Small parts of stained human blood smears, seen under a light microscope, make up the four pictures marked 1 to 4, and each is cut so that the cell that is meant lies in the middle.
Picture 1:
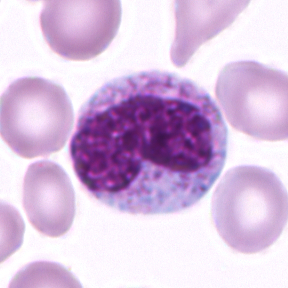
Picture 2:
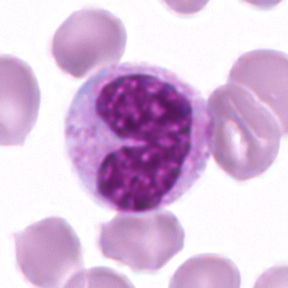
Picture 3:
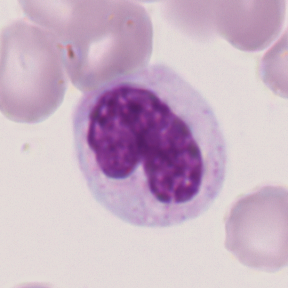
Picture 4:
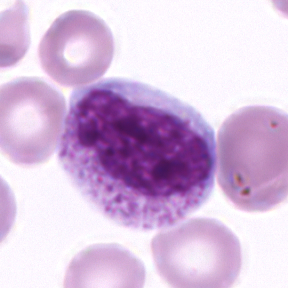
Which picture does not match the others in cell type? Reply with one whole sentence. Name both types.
All pictures except 4 show band neutrophils; picture 4 shows a metamyelocyte.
